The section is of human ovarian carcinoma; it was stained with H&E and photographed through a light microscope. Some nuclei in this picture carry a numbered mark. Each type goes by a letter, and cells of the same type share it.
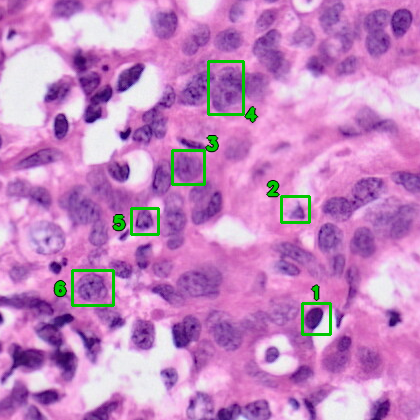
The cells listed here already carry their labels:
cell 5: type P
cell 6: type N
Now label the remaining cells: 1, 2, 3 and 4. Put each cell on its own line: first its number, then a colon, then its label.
1: type N
2: type P
3: type N
4: type N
